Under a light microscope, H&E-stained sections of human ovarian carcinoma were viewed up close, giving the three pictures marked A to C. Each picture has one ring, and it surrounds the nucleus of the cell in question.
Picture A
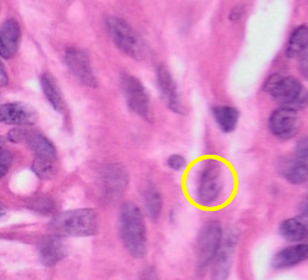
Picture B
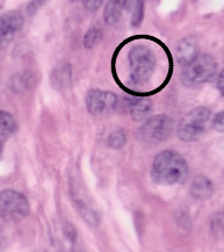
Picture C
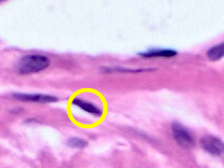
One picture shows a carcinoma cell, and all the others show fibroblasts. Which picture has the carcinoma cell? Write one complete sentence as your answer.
The picture with the carcinoma cell is B.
